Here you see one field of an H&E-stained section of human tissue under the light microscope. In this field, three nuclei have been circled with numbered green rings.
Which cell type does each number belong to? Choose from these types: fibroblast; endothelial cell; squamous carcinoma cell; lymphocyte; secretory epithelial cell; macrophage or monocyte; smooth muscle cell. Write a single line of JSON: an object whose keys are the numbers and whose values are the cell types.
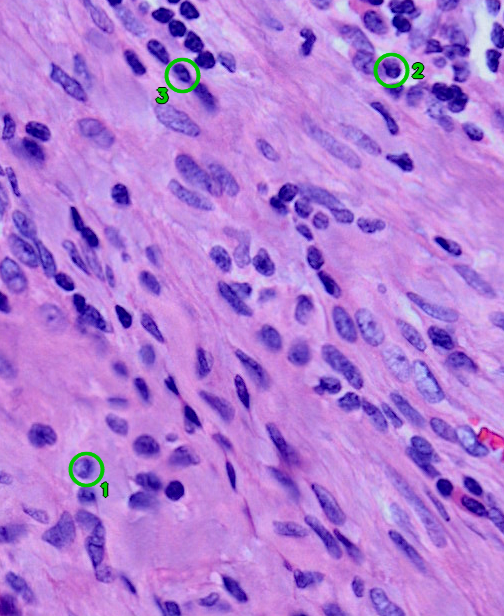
{"1": "fibroblast", "2": "lymphocyte", "3": "lymphocyte"}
